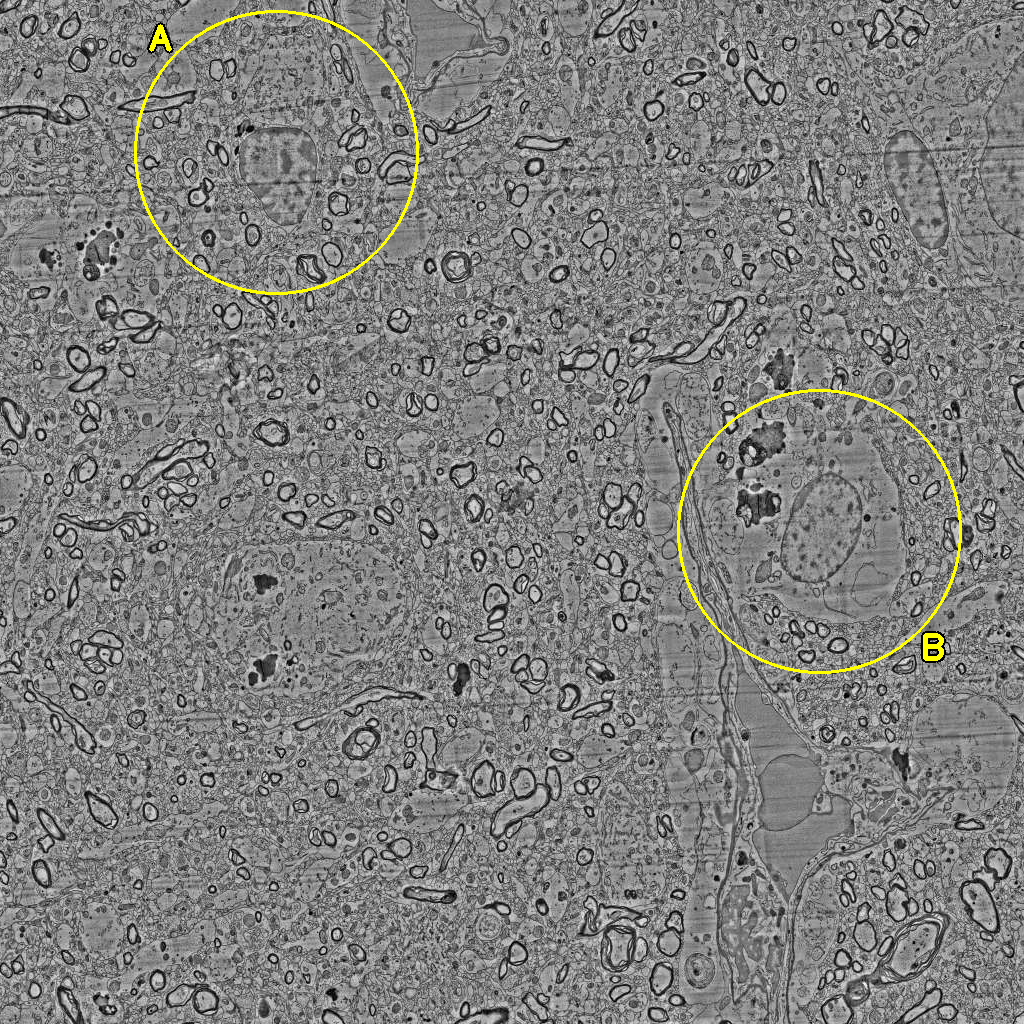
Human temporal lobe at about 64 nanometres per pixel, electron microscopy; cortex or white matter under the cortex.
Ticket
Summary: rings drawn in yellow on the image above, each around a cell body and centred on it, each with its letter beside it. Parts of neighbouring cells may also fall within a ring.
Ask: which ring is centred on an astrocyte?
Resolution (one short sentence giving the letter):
The ring marked B is centred on it.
